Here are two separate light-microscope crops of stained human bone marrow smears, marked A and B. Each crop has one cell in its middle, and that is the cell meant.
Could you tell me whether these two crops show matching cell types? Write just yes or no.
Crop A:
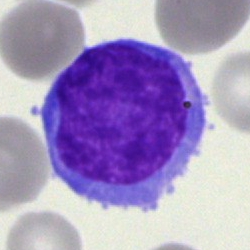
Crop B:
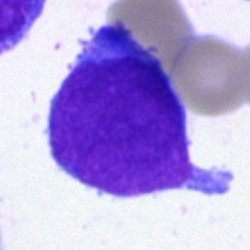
yes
